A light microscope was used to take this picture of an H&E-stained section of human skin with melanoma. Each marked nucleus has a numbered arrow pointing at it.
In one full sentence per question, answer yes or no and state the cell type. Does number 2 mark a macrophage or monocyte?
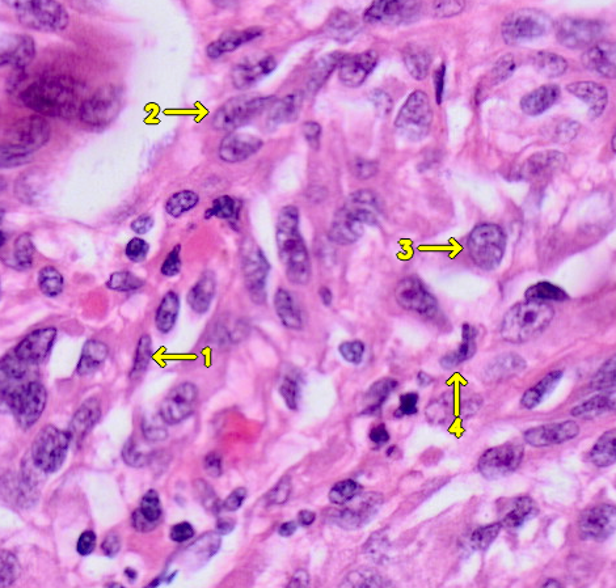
No, the cell identified by number 2 is a melanoma cell, not a macrophage or monocyte.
